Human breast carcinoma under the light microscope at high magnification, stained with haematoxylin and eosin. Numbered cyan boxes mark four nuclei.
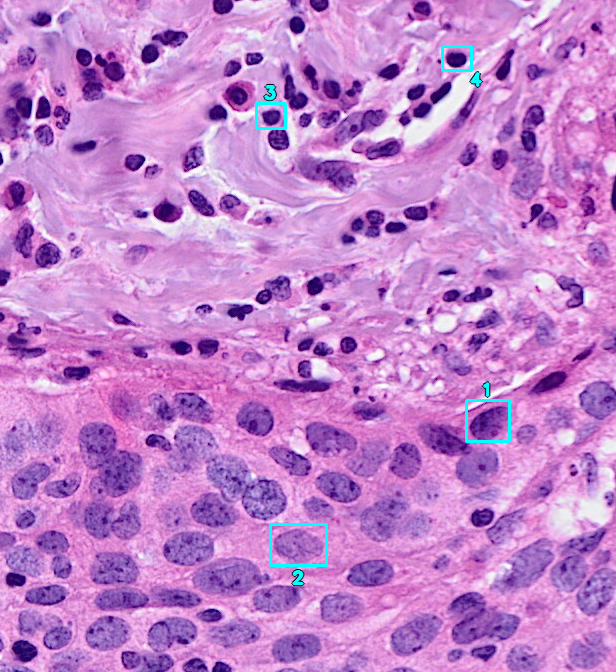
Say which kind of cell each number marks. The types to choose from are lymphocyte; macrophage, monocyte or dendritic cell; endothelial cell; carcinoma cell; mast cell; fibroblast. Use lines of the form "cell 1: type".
cell 1: carcinoma cell
cell 2: carcinoma cell
cell 3: lymphocyte
cell 4: lymphocyte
